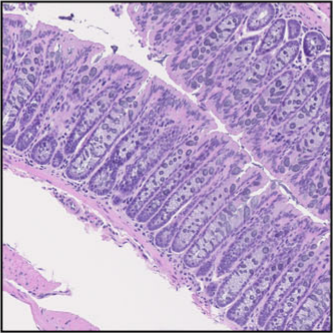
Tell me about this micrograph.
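This is colonic mucosa with its crypts still in order. Long straight crypts stand side by side, perpendicular to the surface, each lined by columnar cells with many pale, rounded goblet cells between them. Between the crypts lies a thin lamina propria with few nuclei, and at the base a thin pink band of smooth muscle runs along the section. The luminal surface is continuous, with no clusters of crowded dark cells.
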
